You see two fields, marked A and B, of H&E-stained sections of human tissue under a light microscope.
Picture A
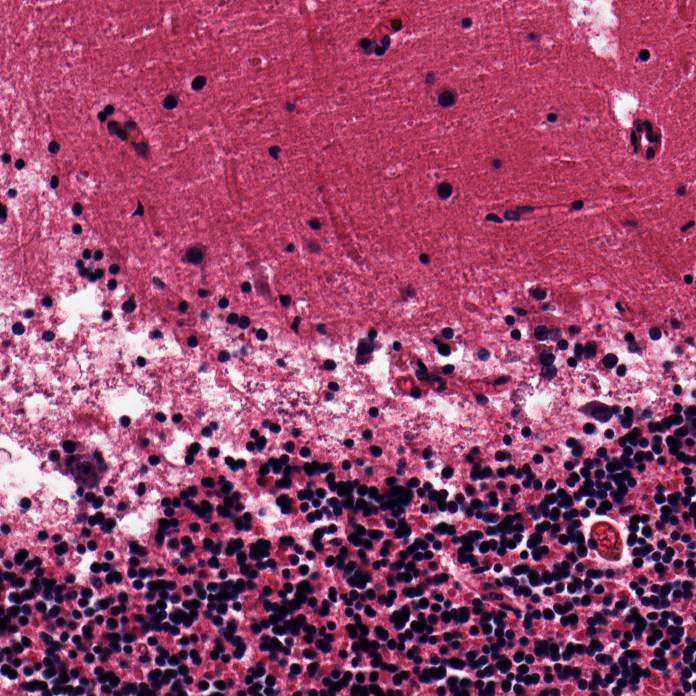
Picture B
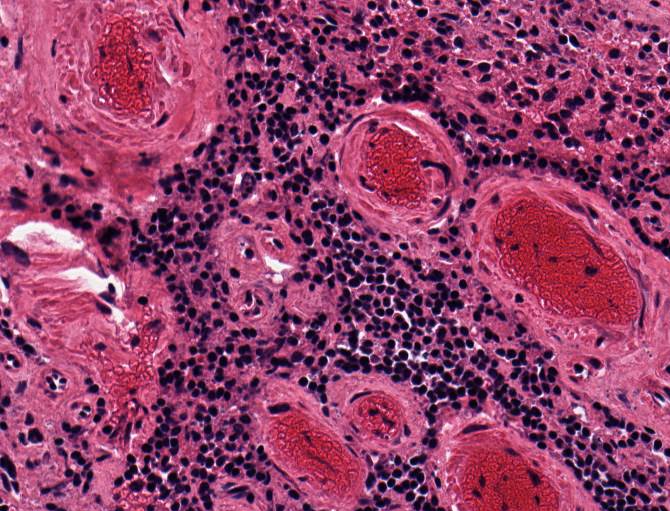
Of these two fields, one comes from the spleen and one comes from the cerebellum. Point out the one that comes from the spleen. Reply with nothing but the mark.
B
